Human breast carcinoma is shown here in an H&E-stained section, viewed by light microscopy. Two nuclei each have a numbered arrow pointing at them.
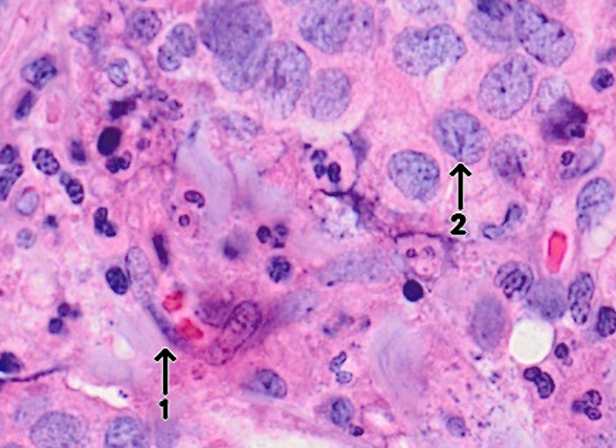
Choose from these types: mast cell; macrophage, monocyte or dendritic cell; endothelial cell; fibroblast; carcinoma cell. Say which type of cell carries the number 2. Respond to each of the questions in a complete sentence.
The marked cell bearing number 2 is a carcinoma cell.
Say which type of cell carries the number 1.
In this section, the cell numbered 1 is an endothelial cell.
